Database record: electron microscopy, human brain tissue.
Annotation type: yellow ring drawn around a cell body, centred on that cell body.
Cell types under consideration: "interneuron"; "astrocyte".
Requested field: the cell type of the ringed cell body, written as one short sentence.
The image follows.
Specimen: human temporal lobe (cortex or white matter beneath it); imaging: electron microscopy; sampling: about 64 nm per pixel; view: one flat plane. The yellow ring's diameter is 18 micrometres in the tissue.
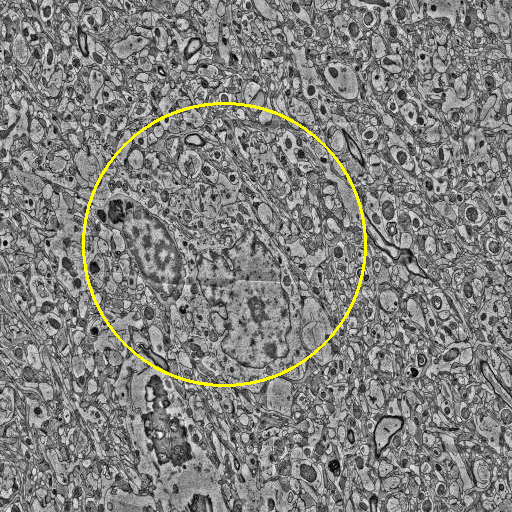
The ringed cell body represents an interneuron.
